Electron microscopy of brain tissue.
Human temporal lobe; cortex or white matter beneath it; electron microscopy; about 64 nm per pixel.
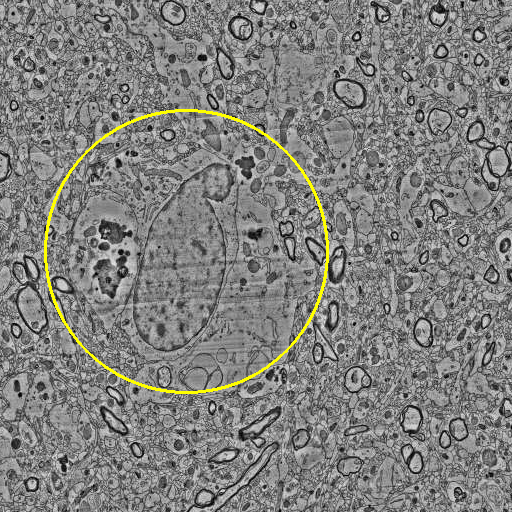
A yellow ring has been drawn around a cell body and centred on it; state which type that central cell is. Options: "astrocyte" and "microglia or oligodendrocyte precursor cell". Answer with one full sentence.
The cell at the middle of the yellow ring is a microglial cell or oligodendrocyte precursor cell in this picture.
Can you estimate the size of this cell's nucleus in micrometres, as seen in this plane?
Roughly 12 by 6 micrometres; in this plane, clearly longer than it is wide.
